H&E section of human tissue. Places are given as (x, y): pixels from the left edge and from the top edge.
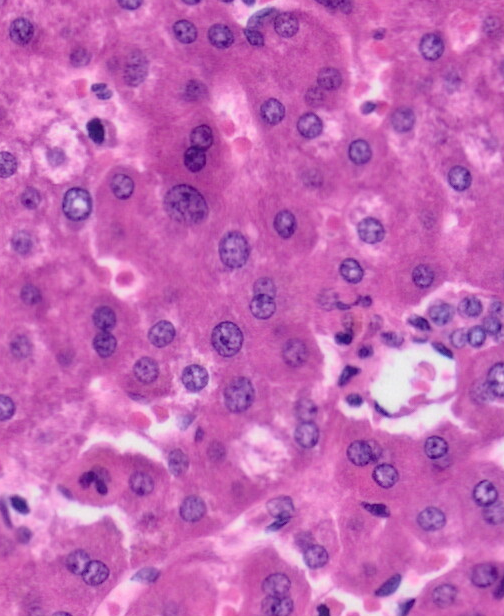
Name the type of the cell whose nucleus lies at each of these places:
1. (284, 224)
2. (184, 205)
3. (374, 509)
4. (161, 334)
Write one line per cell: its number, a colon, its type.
1: hepatocyte
2: hepatocyte
3: fibroblast or stellate cell
4: hepatocyte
